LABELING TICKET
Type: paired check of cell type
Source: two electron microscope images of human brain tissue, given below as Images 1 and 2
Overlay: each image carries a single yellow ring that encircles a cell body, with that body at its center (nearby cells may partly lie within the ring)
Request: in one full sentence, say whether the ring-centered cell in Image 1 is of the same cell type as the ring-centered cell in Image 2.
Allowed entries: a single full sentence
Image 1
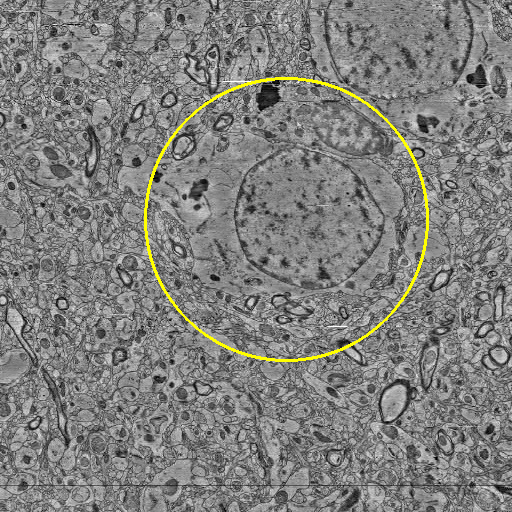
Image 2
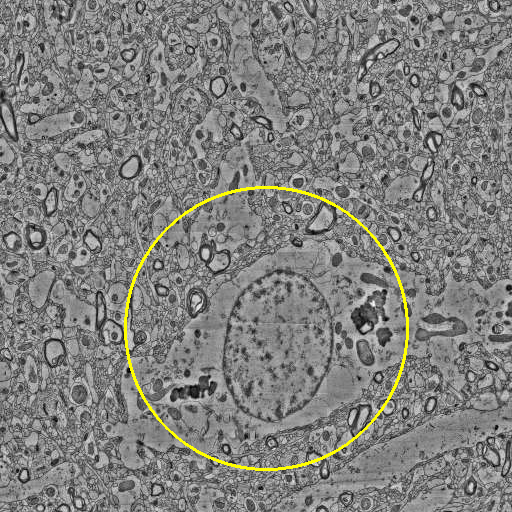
Yes, the cells centered in the rings of Image 1 and Image 2 share one type.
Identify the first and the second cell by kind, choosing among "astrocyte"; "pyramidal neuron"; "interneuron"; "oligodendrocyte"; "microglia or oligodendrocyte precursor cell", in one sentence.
Each cell at the centre of a ring is an astrocyte.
